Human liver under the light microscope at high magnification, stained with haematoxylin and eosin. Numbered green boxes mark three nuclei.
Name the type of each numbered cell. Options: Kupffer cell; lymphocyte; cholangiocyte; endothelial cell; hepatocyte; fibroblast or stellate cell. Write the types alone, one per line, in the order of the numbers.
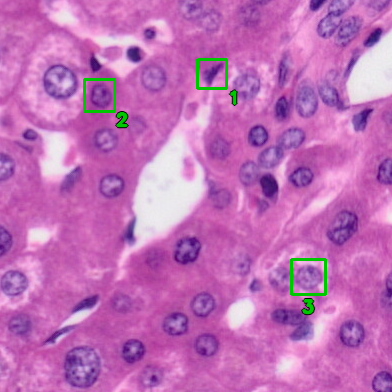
fibroblast or stellate cell
hepatocyte
hepatocyte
